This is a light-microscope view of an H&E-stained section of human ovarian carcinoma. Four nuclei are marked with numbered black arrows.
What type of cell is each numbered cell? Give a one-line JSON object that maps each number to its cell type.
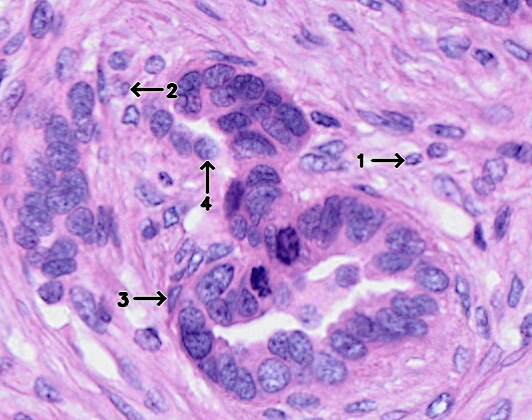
{"1": "lymphocyte", "2": "fibroblast", "3": "fibroblast", "4": "carcinoma cell"}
